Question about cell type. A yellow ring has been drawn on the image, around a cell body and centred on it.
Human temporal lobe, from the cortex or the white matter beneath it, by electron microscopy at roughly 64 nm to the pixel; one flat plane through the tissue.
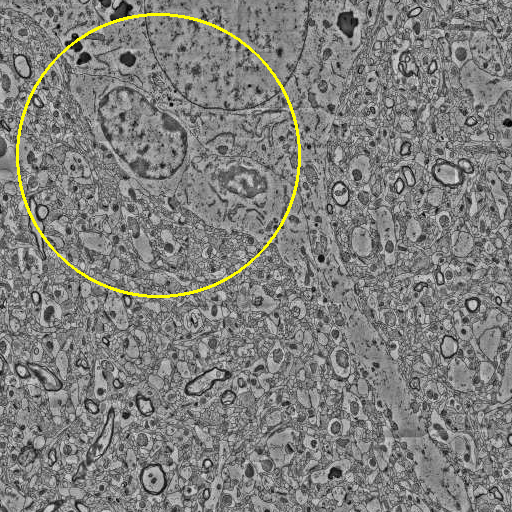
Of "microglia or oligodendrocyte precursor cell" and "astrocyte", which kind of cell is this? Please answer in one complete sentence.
At the centre of the ring lies a microglial cell or oligodendrocyte precursor cell.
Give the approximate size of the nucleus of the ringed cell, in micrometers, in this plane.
The nucleus is about 7 micrometres in length and 4 in width, clearly longer than it is wide in this plane.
